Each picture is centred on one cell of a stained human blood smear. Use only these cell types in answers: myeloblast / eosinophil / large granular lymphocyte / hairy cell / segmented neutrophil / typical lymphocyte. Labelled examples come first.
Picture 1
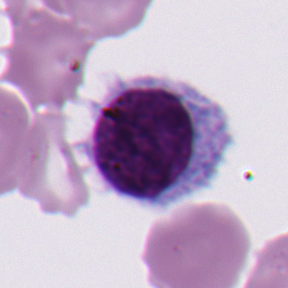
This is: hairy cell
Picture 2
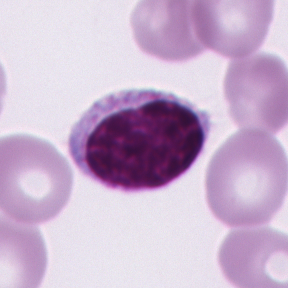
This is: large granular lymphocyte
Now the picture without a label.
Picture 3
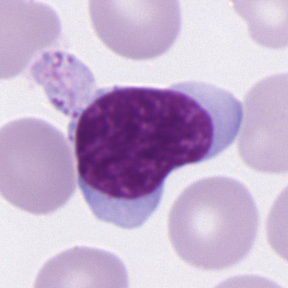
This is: large granular lymphocyte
